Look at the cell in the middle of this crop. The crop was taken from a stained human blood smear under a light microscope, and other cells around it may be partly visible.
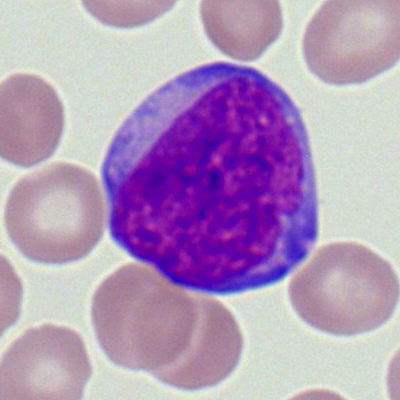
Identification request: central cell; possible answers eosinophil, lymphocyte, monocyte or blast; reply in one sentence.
Here the centrally located cell is a blast.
